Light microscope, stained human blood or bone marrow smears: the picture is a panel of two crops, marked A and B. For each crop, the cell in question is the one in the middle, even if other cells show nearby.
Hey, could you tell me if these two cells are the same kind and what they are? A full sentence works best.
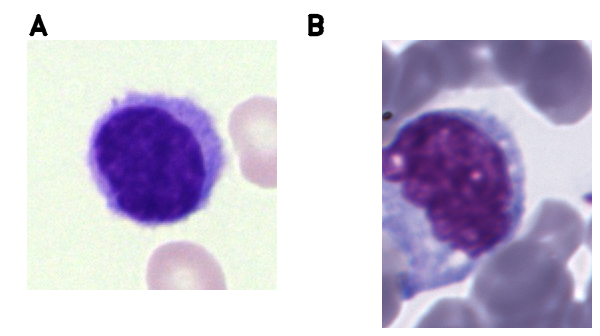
No, crop A shows a hairy cell, and the cell in crop B is a monocyte.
